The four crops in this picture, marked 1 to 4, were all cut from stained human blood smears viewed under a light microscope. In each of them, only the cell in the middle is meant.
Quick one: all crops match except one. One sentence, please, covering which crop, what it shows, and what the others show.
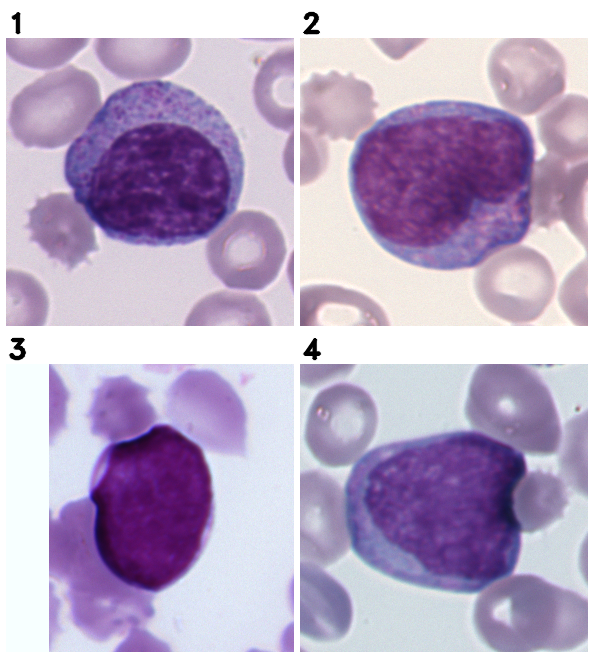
While crop 3 shows a myeloblast, the other crops all show promyelocytes.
